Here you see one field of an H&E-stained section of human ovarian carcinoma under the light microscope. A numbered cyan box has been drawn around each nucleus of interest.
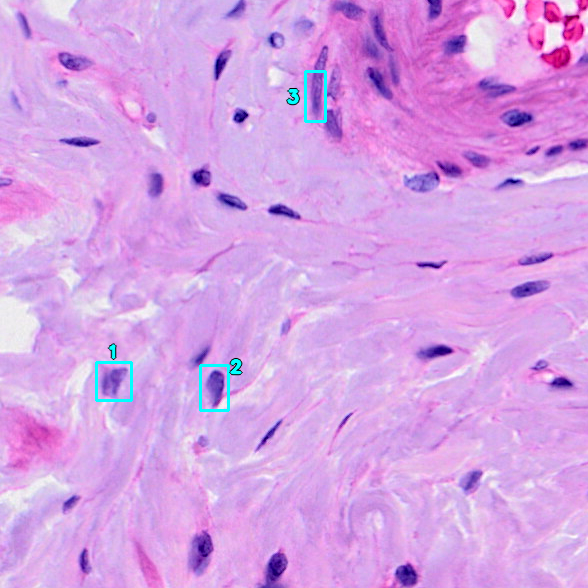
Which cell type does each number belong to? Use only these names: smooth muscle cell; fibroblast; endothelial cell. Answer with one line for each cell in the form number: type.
1: fibroblast
2: fibroblast
3: smooth muscle cell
